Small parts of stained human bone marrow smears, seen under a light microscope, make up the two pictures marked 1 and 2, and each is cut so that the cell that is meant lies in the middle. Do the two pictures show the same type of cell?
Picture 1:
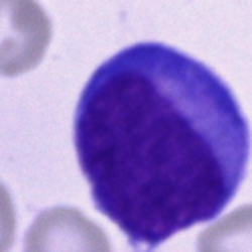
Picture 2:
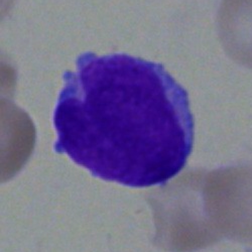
yes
